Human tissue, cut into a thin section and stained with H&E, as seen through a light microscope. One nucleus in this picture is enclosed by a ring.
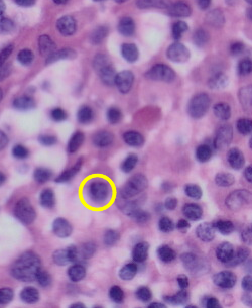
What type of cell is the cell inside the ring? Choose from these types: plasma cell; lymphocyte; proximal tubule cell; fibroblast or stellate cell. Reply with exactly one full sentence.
Typologically, the cell inside the ring is a plasma cell in this section.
